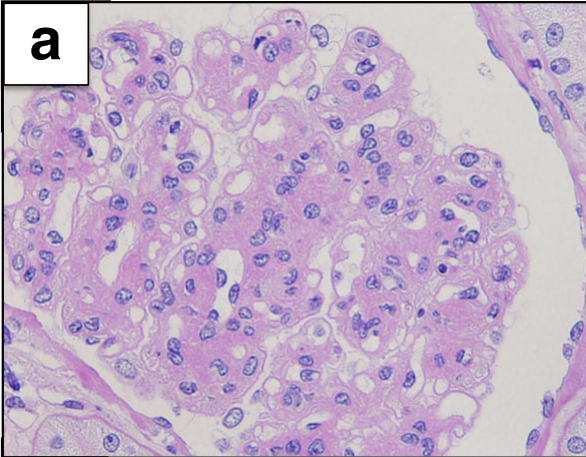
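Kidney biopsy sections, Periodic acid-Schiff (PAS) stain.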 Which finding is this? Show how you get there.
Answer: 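Many crowded nuclei lie in the centres of the lobules. Pink matrix is widened between the capillary loops.
Mesangial hypercellularity.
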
